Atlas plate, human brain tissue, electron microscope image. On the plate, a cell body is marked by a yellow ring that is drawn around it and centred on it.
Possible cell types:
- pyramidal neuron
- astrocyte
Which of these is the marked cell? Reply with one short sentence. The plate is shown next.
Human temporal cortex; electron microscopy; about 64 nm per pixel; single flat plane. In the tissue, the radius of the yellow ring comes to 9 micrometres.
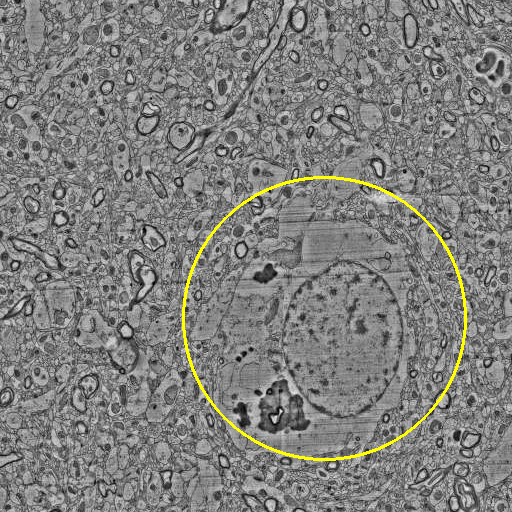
The marked cell is an astrocyte.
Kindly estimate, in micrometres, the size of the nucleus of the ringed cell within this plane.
In this plane, the nucleus of the cell at the centre of the ring measures about 10 by 8 micrometres.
